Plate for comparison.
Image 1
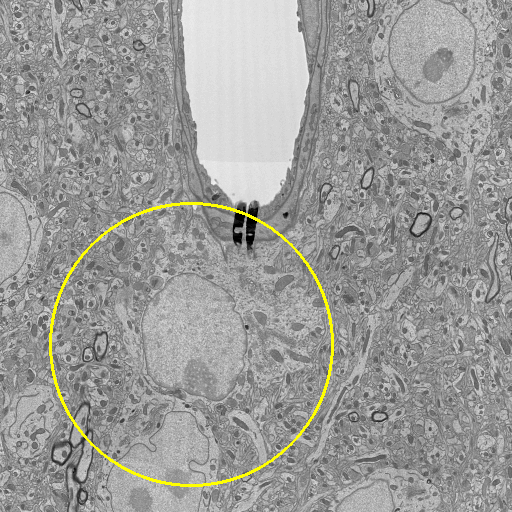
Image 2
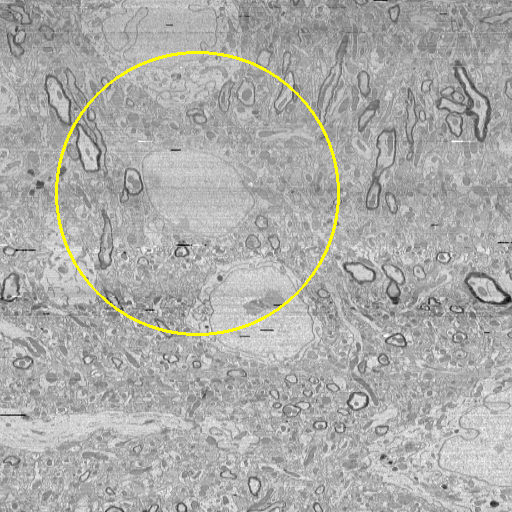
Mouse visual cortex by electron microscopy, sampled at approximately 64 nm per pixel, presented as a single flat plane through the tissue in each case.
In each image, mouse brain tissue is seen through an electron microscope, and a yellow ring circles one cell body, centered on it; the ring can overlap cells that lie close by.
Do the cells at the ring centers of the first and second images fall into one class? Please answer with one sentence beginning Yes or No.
Yes, the first and second images show a single class of cell at the ring centers.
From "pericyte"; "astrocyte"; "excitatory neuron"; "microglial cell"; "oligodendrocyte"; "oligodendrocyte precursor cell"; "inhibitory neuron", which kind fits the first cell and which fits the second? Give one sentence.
The cell in the first picture is an astrocyte, and so is the one in the second.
